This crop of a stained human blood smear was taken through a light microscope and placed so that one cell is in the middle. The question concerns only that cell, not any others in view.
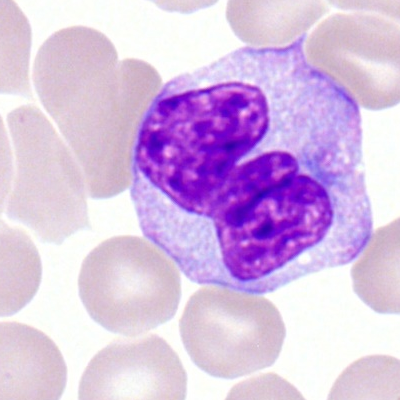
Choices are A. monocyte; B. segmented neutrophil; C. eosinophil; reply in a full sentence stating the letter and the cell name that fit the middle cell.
Located in the middle of the crop is a monocyte, and option A is therefore correct.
